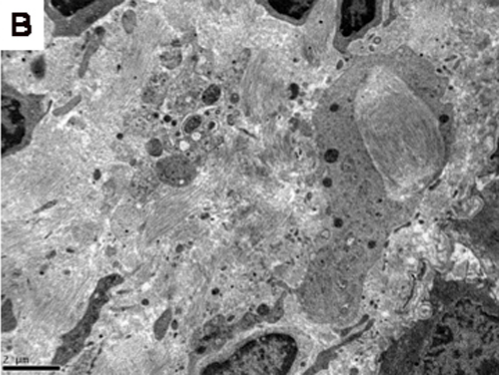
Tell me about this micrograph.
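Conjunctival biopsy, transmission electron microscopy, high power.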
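The cytoplasm contains scattered small dark round bodies and a few rounded organelles, but no large pale lipid droplets are seen. Fine fibrillar material lies between and beside the cells. Dark, dense nuclei of neighbouring cells appear at the edges of the field.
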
